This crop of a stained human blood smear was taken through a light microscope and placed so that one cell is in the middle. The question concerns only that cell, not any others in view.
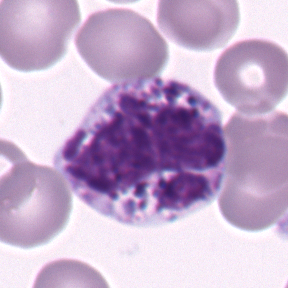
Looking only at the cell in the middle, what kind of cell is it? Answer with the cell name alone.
basophil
